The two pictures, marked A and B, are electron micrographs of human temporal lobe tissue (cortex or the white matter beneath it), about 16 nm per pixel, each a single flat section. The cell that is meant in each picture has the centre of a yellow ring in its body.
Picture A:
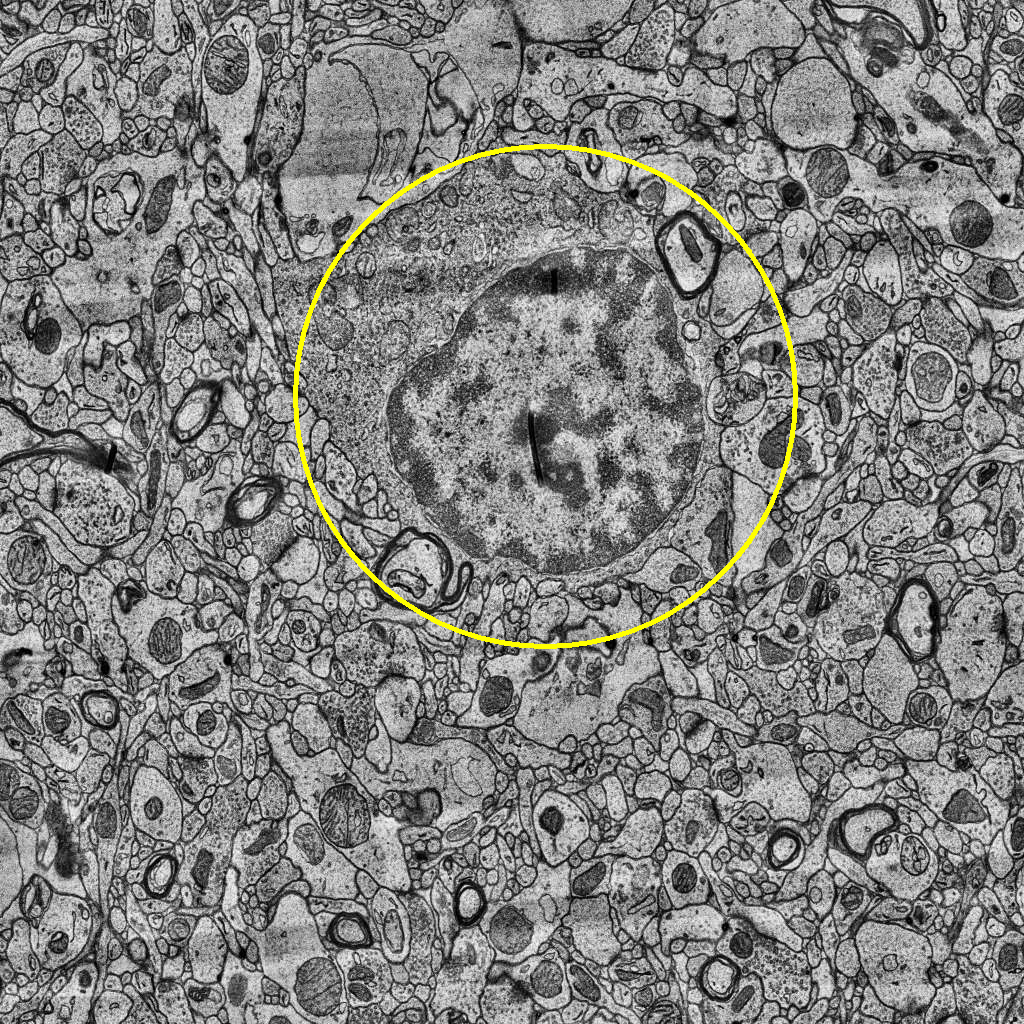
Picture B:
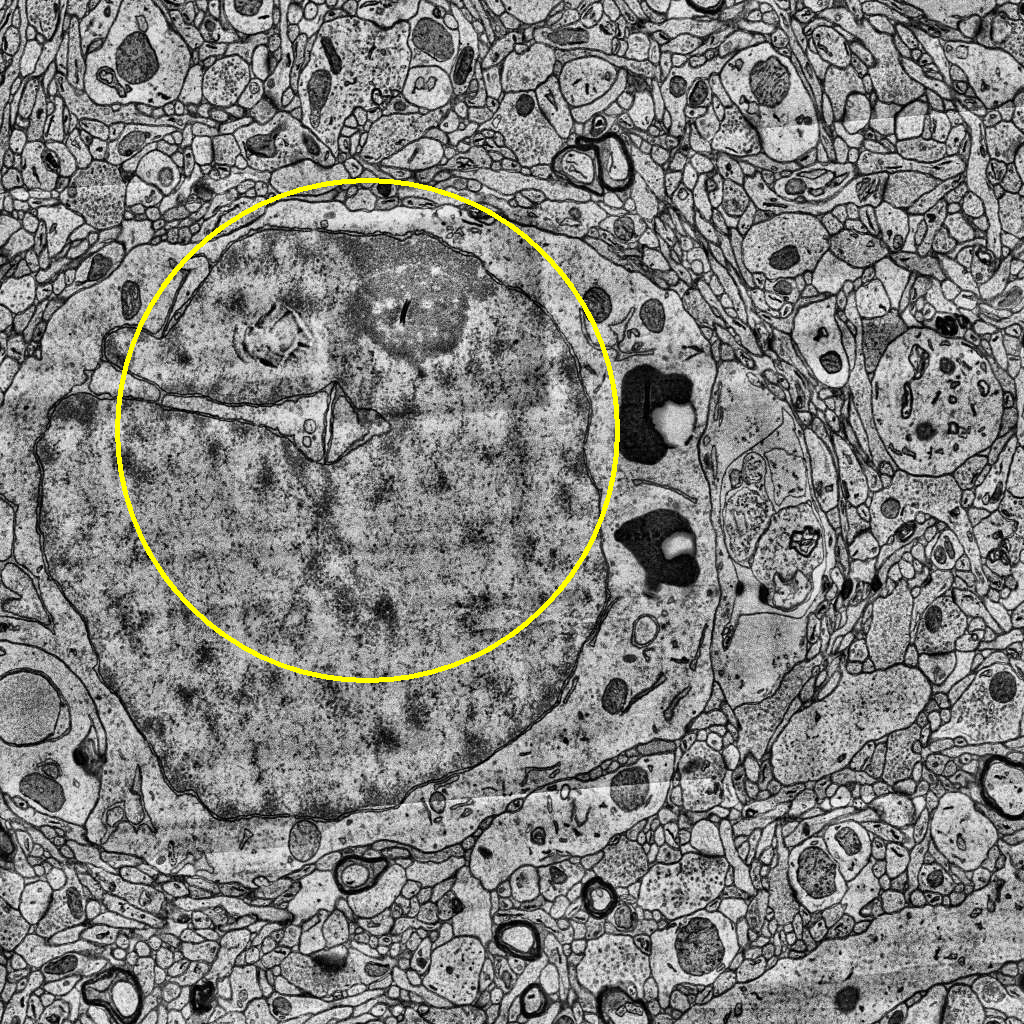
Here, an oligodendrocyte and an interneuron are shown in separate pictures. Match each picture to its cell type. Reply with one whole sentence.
In picture A the cell is an oligodendrocyte; in picture B, an interneuron.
